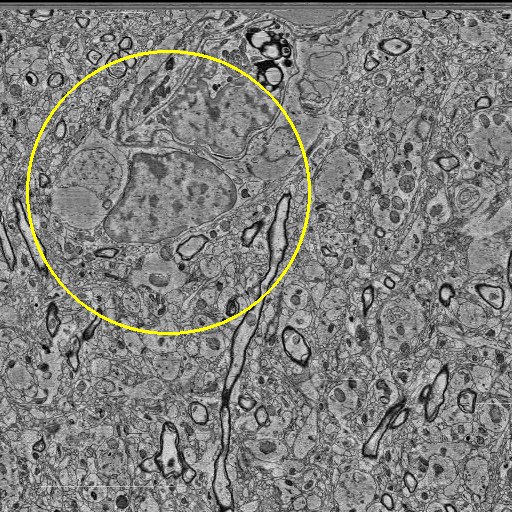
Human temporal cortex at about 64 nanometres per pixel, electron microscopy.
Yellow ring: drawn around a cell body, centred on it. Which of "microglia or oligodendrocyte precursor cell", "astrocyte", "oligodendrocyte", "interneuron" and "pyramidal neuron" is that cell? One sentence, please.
That cell body is from a microglial cell or oligodendrocyte precursor cell.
